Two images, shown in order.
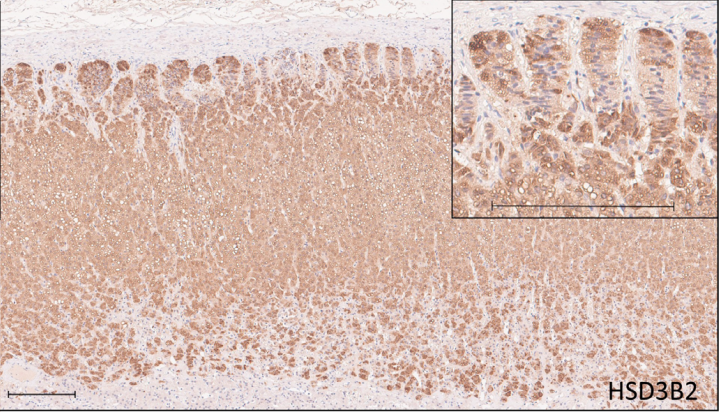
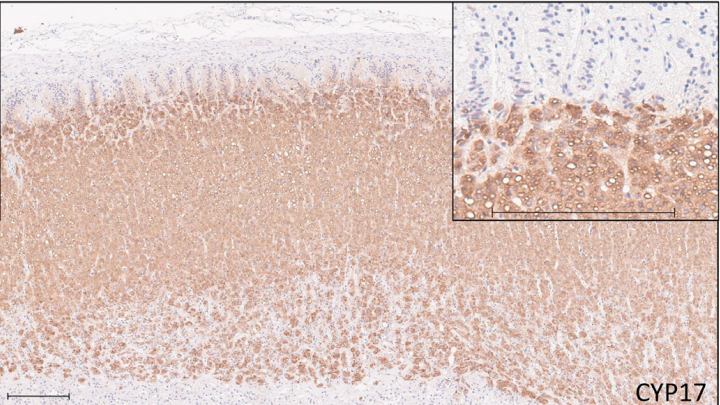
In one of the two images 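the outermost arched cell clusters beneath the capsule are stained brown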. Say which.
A: the first image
